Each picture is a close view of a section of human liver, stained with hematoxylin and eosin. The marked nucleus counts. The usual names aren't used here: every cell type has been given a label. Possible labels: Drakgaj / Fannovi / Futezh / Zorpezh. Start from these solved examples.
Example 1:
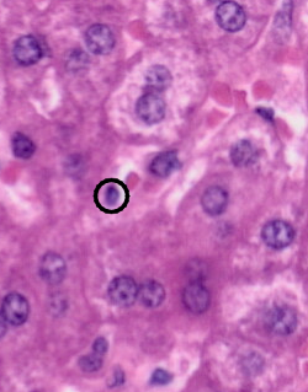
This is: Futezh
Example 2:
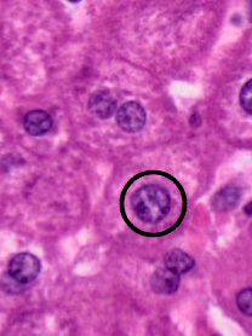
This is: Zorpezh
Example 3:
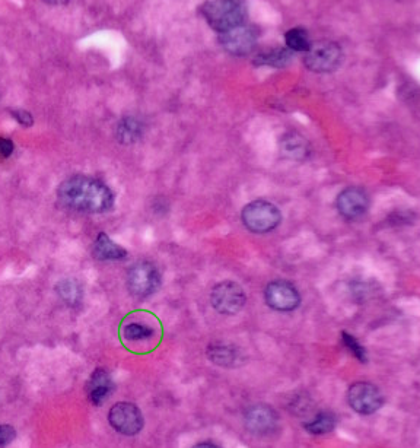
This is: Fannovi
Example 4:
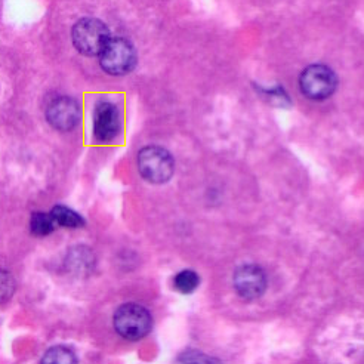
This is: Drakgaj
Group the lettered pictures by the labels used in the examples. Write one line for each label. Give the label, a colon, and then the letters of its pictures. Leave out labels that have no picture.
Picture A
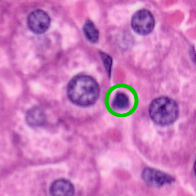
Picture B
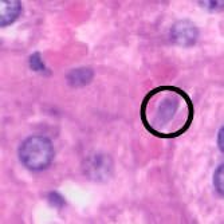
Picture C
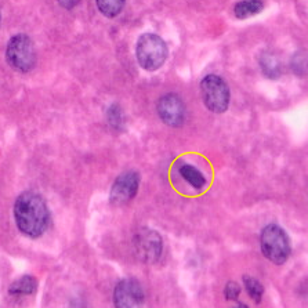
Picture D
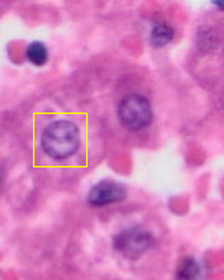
Drakgaj: B
Fannovi: C
Futezh: A
Zorpezh: D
